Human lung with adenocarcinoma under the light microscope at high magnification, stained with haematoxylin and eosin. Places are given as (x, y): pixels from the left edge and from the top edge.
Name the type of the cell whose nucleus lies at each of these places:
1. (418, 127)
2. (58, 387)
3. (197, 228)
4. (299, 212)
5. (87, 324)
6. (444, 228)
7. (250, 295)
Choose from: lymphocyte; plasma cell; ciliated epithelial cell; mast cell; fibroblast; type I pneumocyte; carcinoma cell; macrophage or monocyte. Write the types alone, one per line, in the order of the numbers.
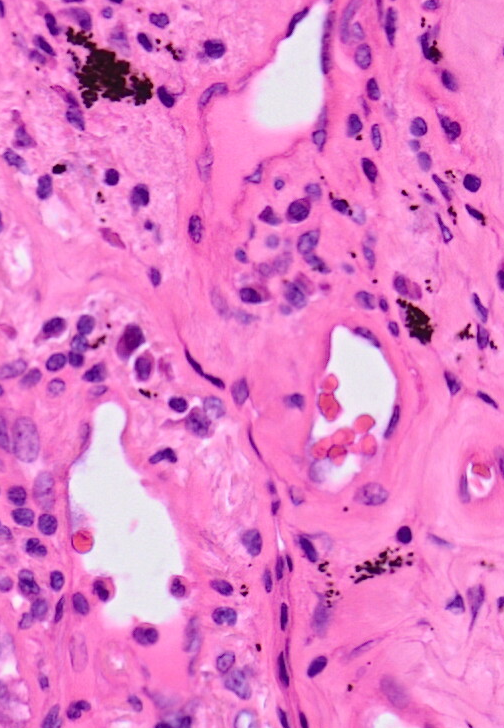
lymphocyte
mast cell
mast cell
plasma cell
lymphocyte
fibroblast
plasma cell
